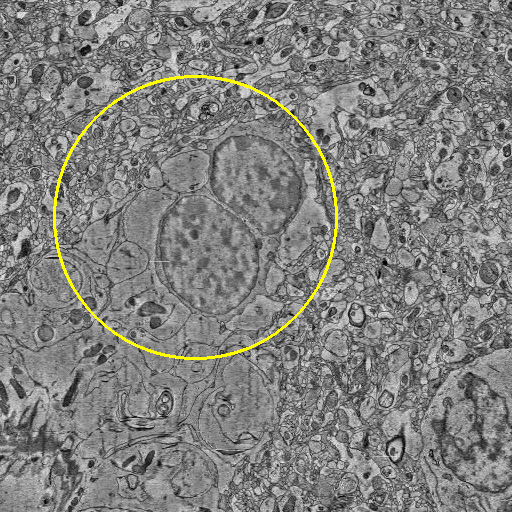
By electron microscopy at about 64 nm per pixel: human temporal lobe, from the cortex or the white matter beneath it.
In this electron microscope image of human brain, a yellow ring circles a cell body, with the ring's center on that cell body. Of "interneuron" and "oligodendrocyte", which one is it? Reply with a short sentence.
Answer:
It is an oligodendrocyte at the center of the ring.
